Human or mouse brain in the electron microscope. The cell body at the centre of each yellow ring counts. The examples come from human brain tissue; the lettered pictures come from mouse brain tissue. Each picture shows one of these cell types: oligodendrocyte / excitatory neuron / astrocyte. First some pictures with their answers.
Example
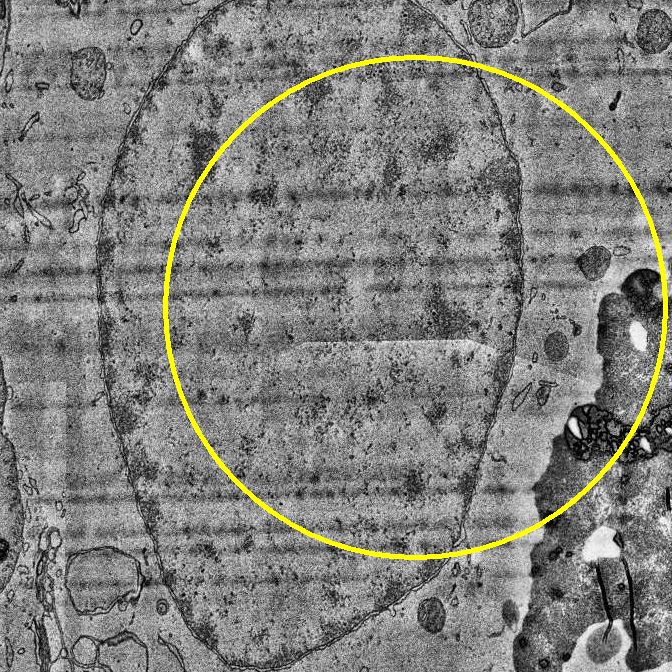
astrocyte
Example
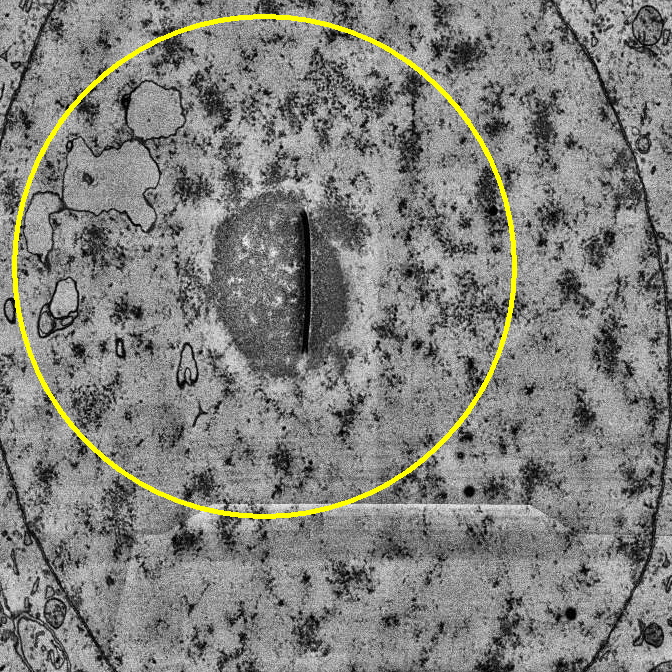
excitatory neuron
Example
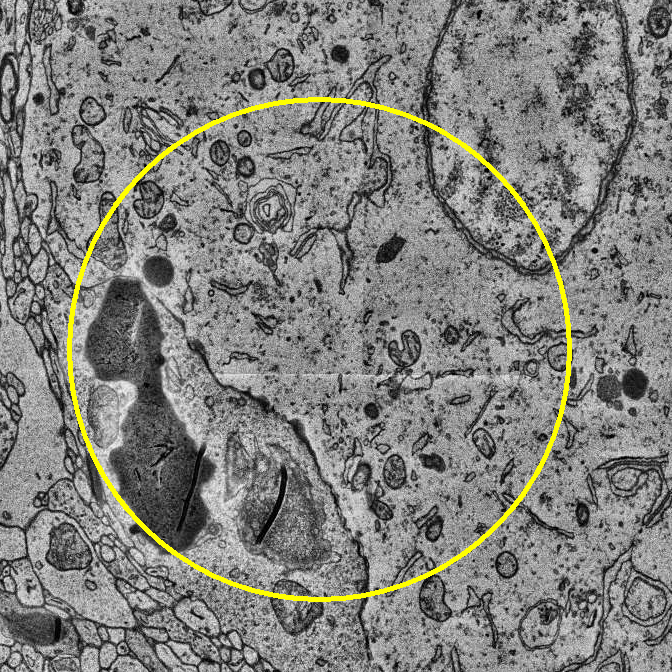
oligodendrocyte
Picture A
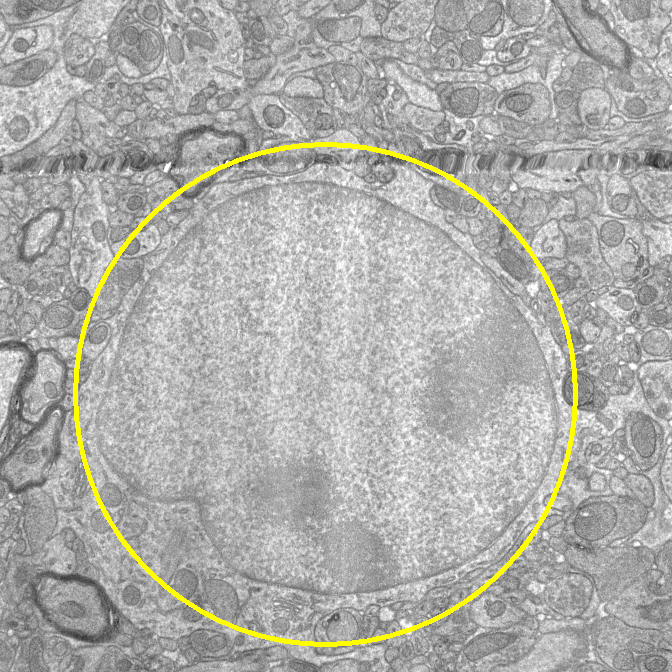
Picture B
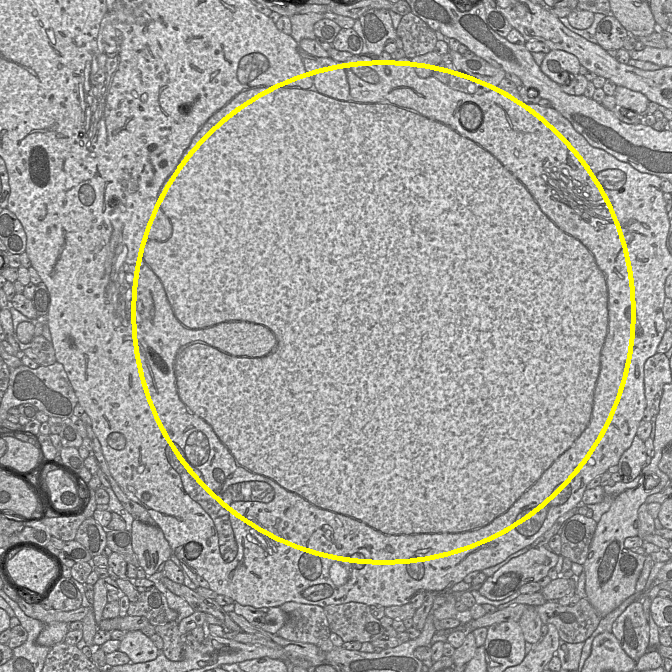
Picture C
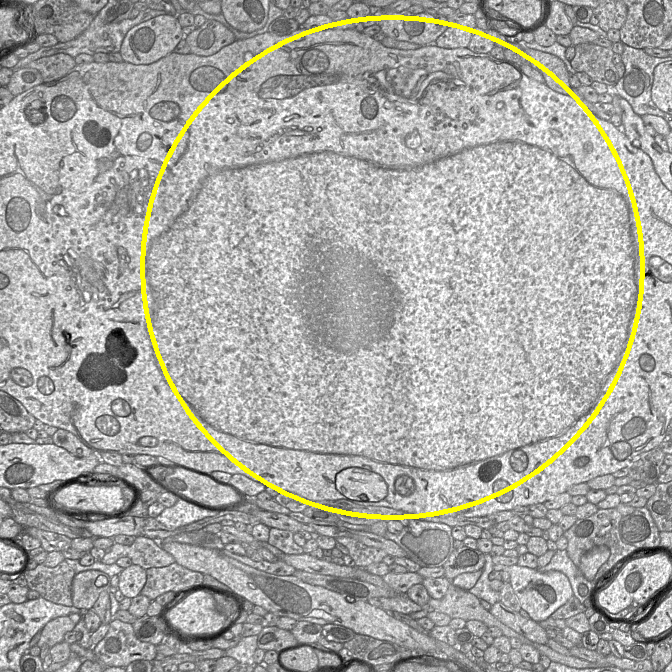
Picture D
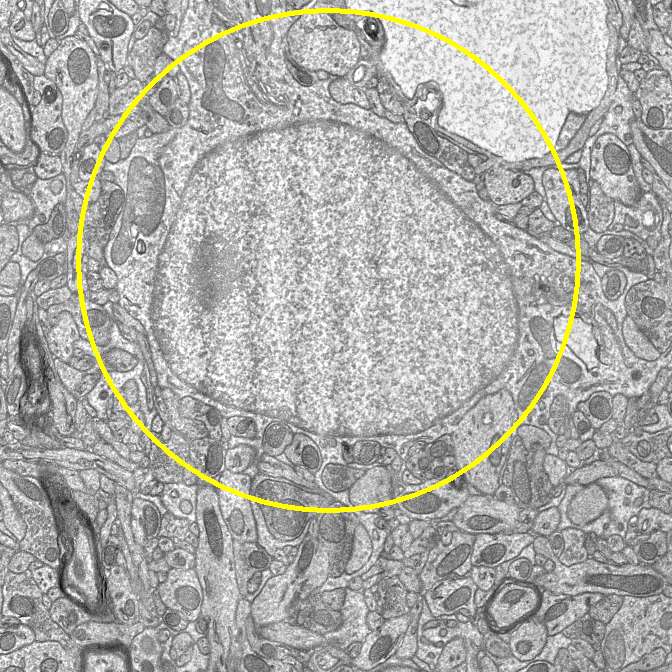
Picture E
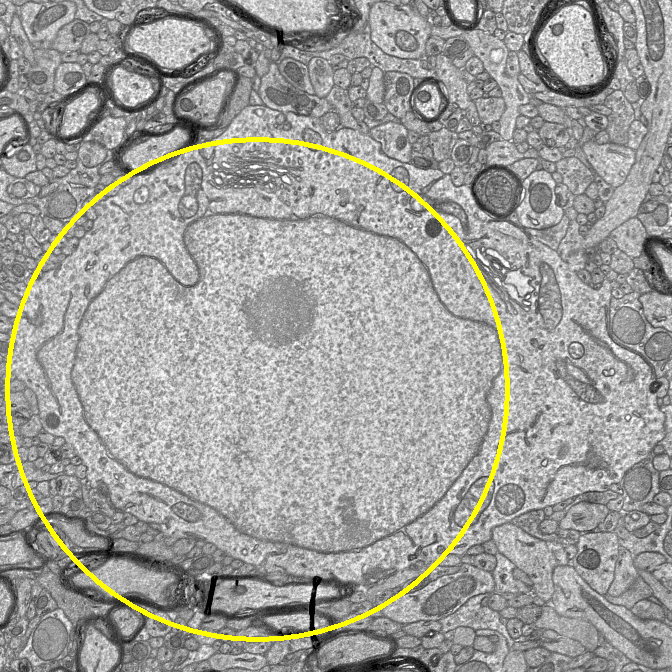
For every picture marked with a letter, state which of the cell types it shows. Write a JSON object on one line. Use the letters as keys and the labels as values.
{"A": "astrocyte", "B": "excitatory neuron", "C": "excitatory neuron", "D": "astrocyte", "E": "excitatory neuron"}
